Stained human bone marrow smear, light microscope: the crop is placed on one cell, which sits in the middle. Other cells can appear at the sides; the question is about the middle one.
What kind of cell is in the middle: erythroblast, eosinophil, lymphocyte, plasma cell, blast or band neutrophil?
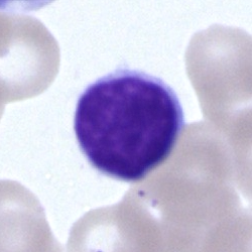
lymphocyte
